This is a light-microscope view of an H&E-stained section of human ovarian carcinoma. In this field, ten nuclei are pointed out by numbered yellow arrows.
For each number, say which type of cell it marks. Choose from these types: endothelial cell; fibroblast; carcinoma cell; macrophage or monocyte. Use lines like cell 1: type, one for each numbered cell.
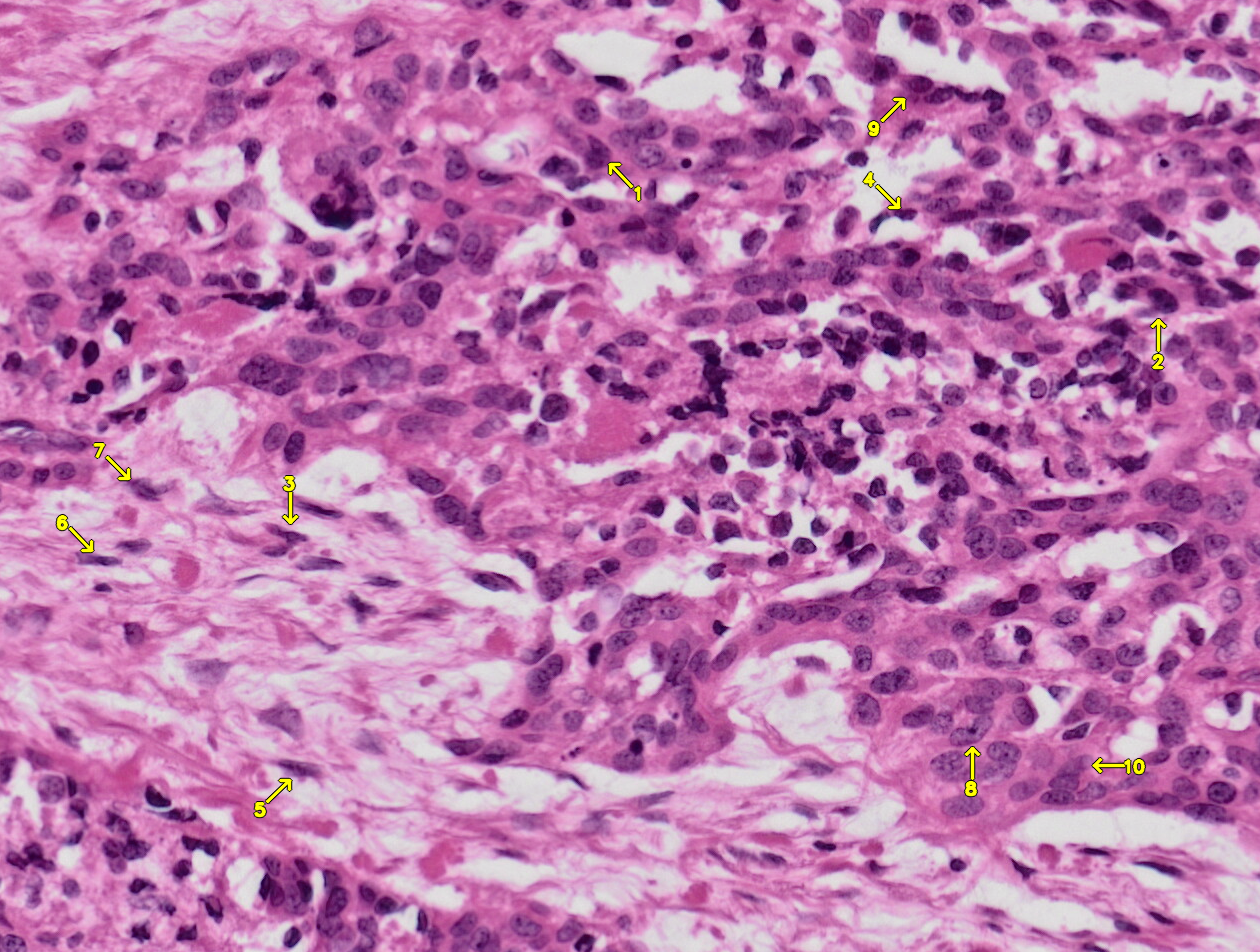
cell 1: carcinoma cell
cell 2: carcinoma cell
cell 3: fibroblast
cell 4: carcinoma cell
cell 5: fibroblast
cell 6: fibroblast
cell 7: fibroblast
cell 8: carcinoma cell
cell 9: carcinoma cell
cell 10: carcinoma cell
